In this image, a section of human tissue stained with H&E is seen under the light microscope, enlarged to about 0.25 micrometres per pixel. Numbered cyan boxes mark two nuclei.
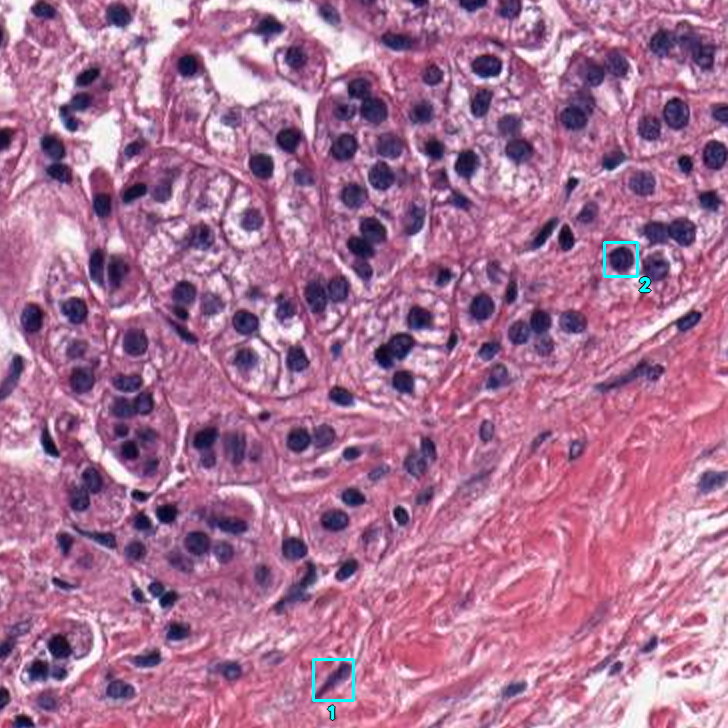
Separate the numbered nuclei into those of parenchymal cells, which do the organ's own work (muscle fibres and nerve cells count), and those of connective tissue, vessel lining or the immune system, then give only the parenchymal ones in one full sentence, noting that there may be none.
Nucleus 2 alone is assigned to a parenchymal cell.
